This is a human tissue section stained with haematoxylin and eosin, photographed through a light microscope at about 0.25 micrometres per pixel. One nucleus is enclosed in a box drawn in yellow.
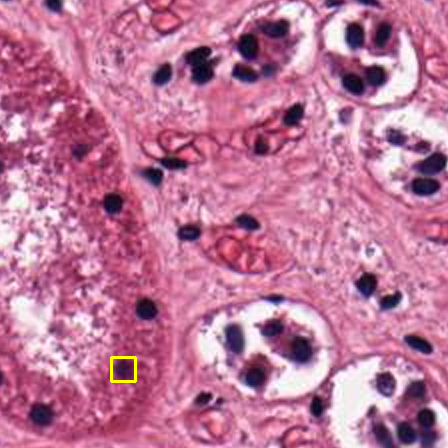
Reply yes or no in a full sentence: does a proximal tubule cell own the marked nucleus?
Yes, the marked nucleus is a nucleus of a proximal tubule cell.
